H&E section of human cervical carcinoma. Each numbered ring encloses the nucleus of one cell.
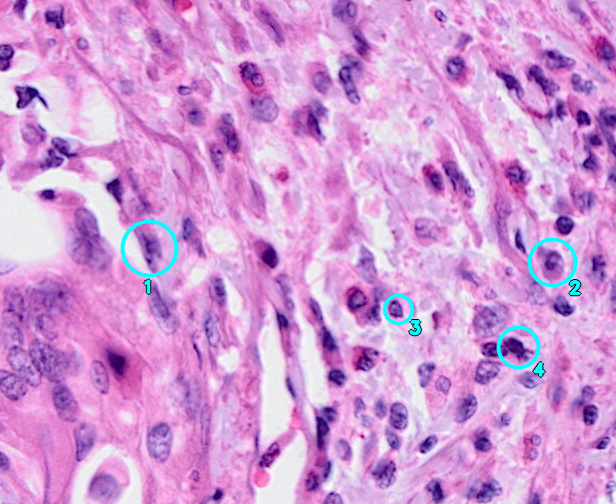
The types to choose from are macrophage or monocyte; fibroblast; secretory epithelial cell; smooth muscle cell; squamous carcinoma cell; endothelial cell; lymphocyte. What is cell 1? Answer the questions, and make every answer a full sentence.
The numbered cell 1 is identified here as a macrophage or monocyte.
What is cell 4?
The one labeled 4 is a lymphocyte, to put it simply.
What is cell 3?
The nucleus with number 3 is that of a lymphocyte.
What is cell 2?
The nucleus labeled 2 belongs to a macrophage or monocyte.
